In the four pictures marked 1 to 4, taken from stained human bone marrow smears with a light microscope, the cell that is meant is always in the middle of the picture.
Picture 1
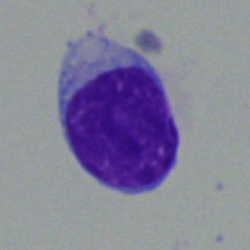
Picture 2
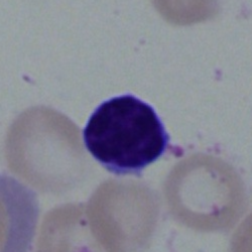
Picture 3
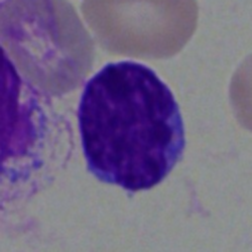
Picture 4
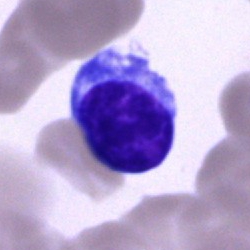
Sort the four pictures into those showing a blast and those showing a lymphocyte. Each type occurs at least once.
1: lymphocyte
2: lymphocyte
3: blast
4: lymphocyte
